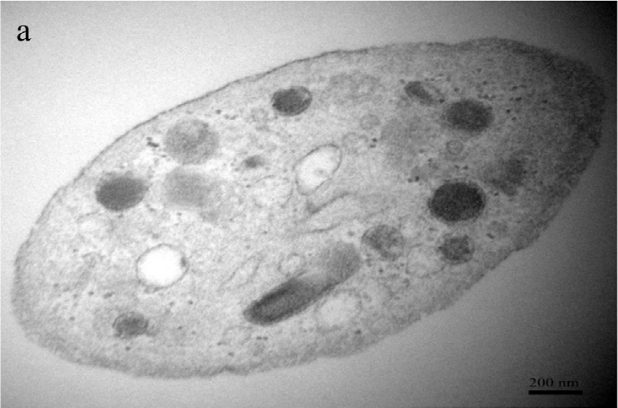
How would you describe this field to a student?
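This thin section shows a single platelet, an oval cell fragment without a nucleus. Its finely granular cytoplasm holds many round granules of differing electron density, from pale grey to very dark, together with a few clear, membrane-bound vacuole-like spaces of the open canicular system. The outline of the cell is smooth and continuous.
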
